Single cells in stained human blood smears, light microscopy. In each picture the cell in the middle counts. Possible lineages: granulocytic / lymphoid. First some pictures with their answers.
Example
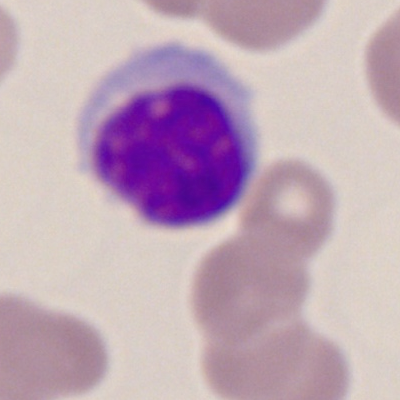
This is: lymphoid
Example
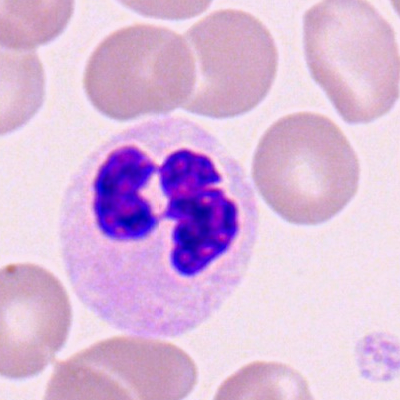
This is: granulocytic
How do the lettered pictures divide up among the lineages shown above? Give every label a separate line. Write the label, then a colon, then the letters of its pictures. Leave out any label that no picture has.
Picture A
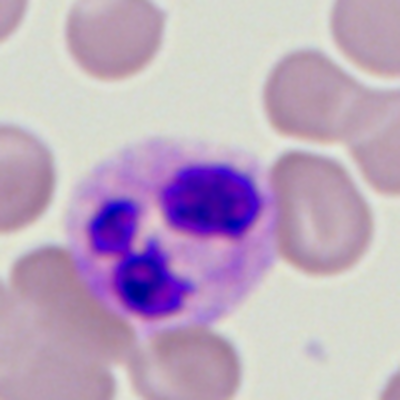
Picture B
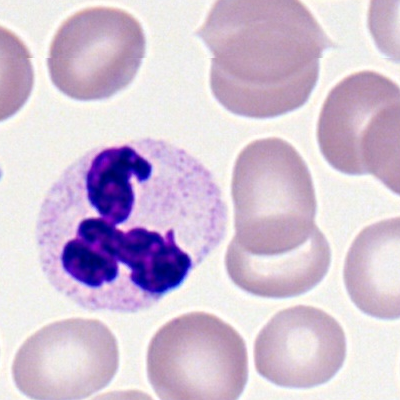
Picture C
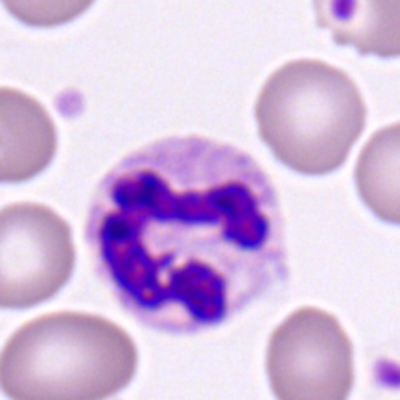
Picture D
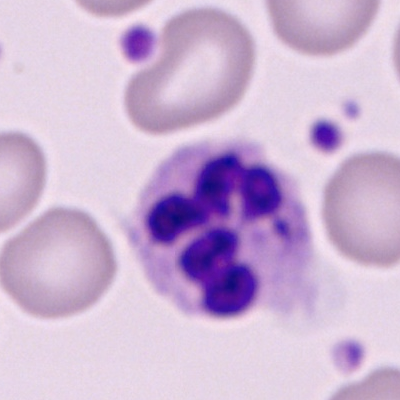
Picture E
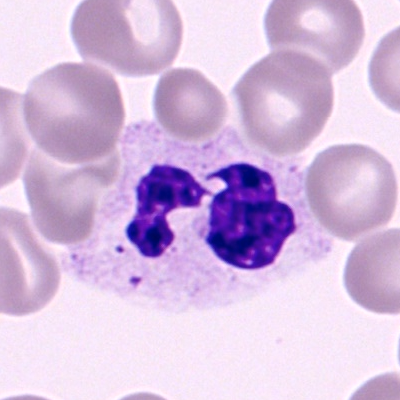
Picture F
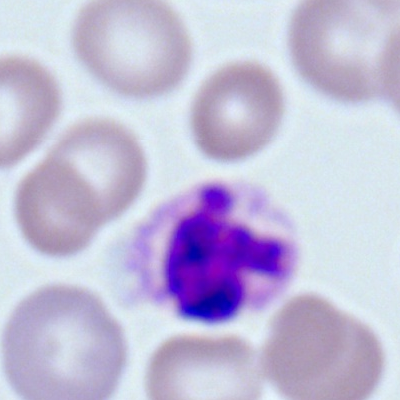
granulocytic: A, B, C, D, E, F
